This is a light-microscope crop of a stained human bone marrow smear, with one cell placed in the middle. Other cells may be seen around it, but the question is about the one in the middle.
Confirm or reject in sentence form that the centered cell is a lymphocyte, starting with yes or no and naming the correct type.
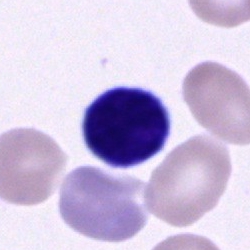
Yes, the cell here in the middle is a lymphocyte.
